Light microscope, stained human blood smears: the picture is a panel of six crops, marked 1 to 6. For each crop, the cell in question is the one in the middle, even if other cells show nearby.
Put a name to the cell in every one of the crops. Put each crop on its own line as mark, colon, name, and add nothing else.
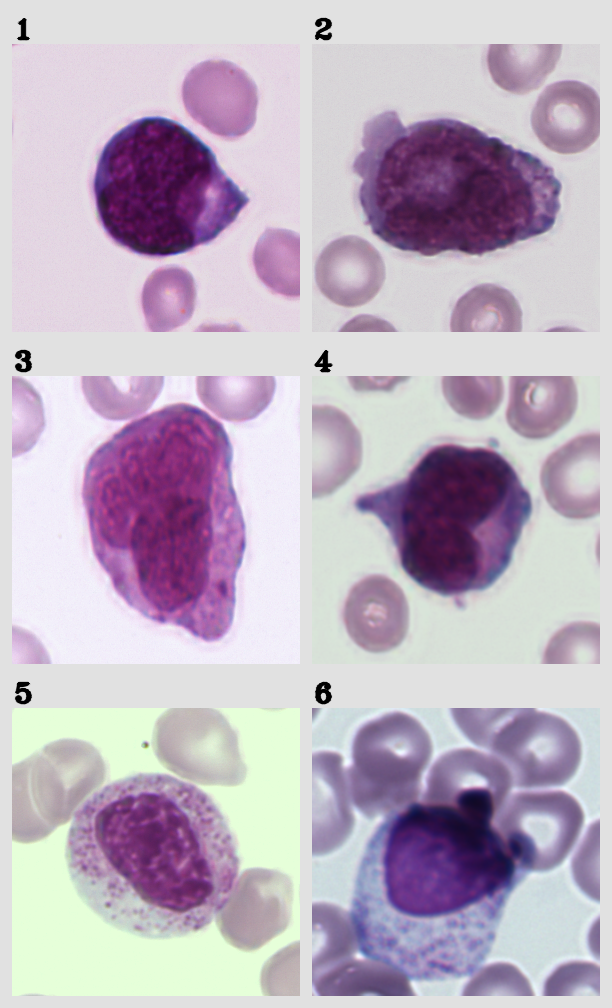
1: atypical promyelocyte
2: atypical promyelocyte
3: atypical promyelocyte
4: atypical promyelocyte
5: myelocyte
6: myelocyte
